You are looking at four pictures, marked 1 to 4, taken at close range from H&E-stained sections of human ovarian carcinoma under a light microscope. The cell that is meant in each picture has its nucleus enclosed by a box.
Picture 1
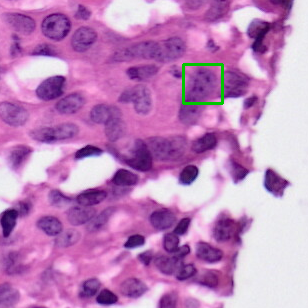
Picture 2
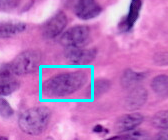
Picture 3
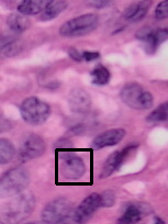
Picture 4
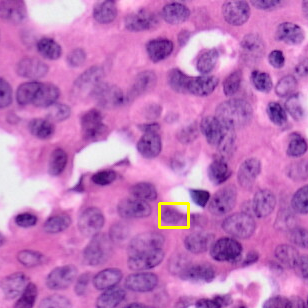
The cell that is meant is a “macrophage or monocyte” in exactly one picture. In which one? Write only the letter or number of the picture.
3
